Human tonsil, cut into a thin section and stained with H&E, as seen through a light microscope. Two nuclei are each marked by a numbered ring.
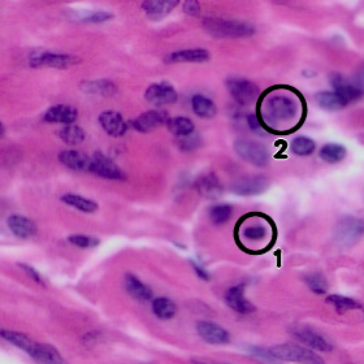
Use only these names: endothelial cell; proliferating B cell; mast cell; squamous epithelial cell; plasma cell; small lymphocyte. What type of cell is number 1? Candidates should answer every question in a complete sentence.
The marked nucleus 1 is that of a mast cell.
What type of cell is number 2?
In the marked set, the cell given number 2 is a plasma cell.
